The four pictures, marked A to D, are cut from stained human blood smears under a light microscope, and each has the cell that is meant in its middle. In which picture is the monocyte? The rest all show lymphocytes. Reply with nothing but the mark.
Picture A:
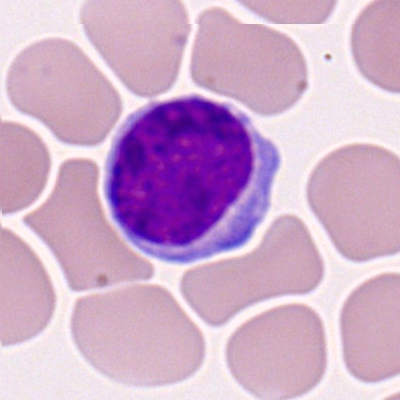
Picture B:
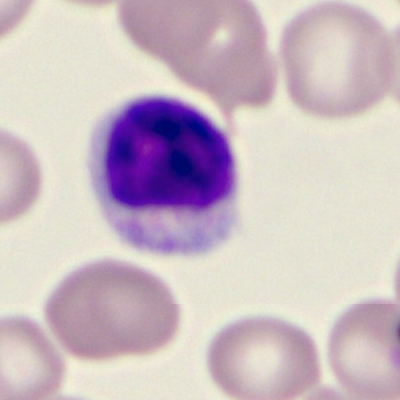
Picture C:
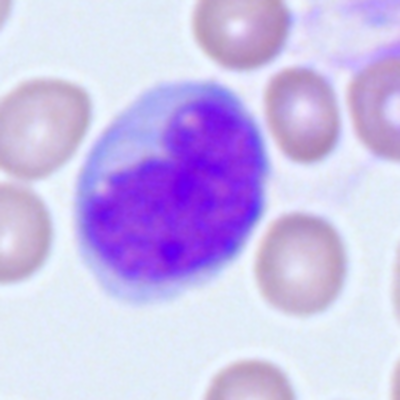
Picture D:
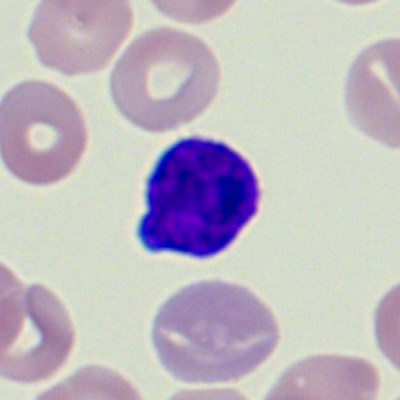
C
